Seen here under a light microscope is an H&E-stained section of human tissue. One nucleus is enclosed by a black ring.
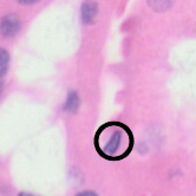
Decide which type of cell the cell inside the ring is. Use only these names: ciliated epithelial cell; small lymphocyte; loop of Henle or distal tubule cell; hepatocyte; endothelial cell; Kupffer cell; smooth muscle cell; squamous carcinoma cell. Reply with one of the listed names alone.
endothelial cell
